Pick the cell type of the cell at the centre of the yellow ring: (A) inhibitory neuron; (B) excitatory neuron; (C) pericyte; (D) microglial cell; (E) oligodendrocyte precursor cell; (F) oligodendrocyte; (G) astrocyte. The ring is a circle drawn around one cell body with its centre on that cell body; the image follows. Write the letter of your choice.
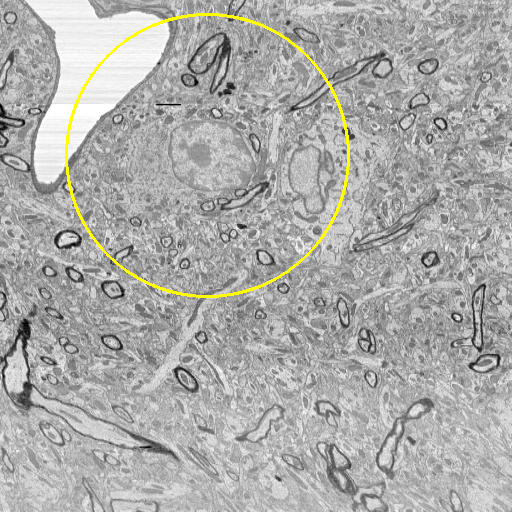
F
